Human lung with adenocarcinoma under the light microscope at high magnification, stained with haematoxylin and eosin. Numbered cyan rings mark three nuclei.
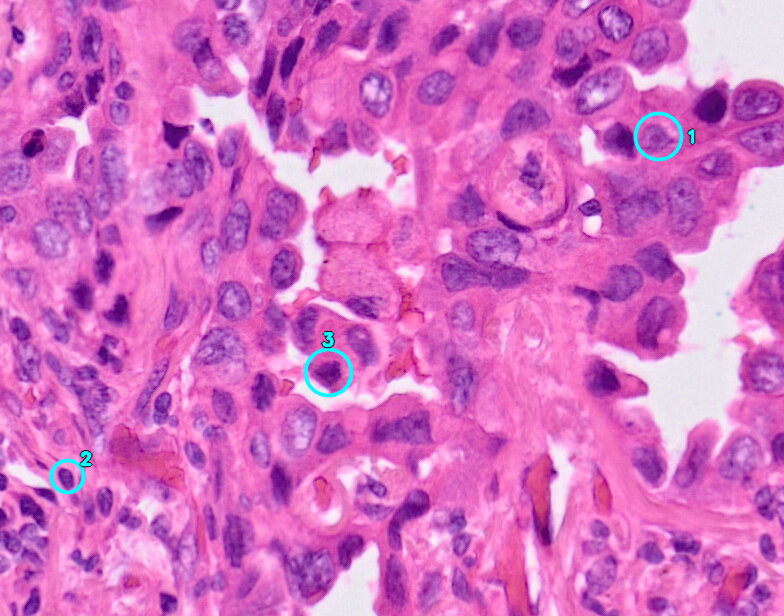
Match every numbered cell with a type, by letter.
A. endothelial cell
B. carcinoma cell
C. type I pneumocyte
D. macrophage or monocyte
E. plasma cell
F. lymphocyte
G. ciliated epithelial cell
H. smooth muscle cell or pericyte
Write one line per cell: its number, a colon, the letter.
1: B
2: F
3: B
